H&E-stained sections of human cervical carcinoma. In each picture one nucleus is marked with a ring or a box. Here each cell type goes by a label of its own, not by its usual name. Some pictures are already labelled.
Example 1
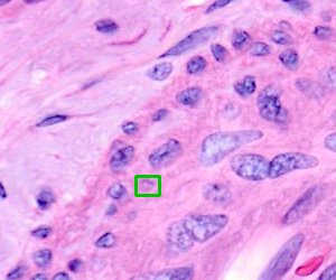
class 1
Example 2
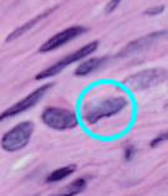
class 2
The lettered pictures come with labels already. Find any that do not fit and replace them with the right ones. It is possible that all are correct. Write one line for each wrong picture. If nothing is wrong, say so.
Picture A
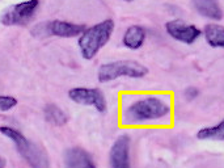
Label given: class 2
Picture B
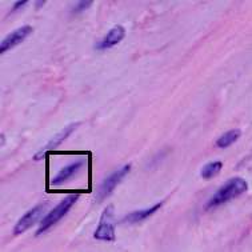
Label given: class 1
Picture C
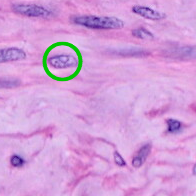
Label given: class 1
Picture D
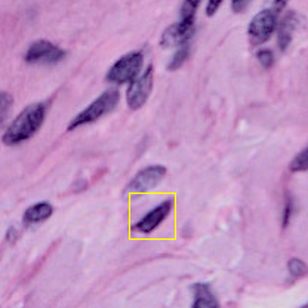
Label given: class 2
B should be class 2, not class 1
